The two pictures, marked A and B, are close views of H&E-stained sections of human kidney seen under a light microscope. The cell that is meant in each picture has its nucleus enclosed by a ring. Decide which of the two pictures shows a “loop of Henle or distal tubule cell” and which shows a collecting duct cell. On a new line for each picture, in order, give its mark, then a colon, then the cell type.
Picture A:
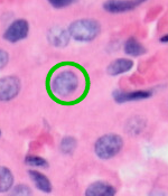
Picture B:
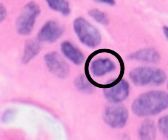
A: loop of Henle or distal tubule cell
B: collecting duct cell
